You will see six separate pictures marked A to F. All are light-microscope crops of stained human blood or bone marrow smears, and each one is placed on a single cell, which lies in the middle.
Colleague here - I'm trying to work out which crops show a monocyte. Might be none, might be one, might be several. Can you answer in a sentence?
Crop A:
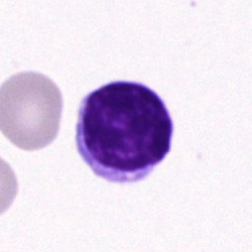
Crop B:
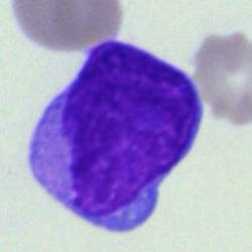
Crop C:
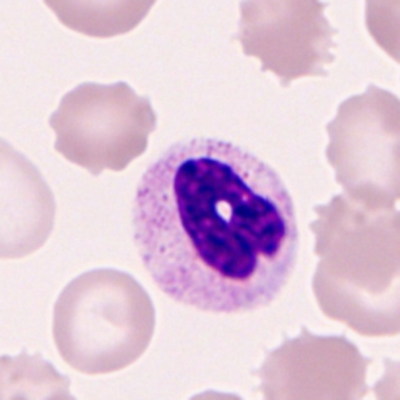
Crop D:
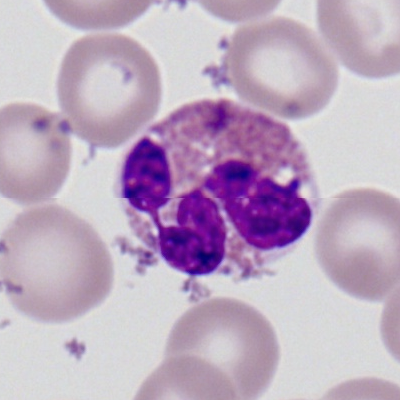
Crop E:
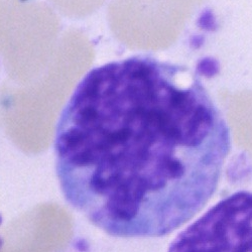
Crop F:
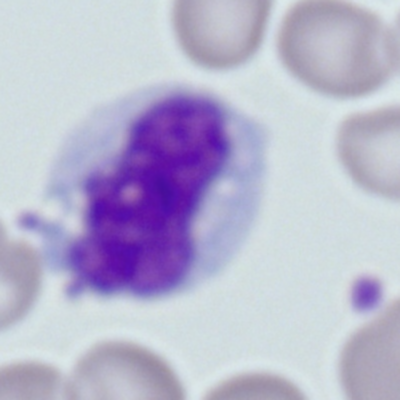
The central cells found in crops E and F are monocytes.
